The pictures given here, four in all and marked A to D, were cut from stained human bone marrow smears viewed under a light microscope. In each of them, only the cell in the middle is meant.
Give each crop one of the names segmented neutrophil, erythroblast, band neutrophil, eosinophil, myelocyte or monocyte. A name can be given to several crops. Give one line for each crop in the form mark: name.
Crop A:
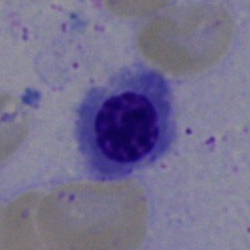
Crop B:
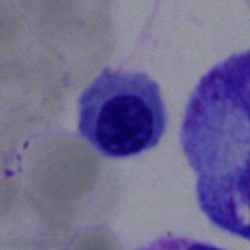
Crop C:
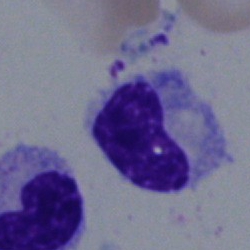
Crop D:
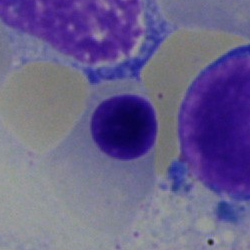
A: erythroblast
B: erythroblast
C: band neutrophil
D: erythroblast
